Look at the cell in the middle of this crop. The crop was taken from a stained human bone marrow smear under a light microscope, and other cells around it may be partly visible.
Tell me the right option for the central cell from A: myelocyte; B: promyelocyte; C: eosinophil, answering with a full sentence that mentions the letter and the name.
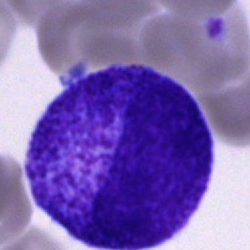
The central cell, a promyelocyte, is correctly identified by option B.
